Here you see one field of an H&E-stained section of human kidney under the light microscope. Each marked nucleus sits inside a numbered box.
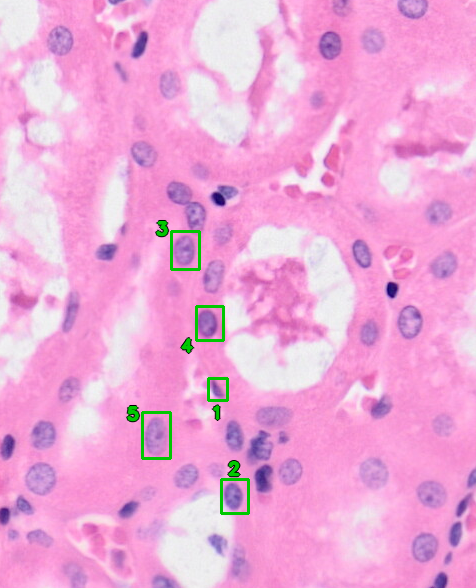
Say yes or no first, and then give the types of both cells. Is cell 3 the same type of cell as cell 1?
No, classify cell 3 as a proximal tubule cell and cell 1 as an endothelial cell.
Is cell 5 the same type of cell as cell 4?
Yes, cells 5 and 4 are both to be classed as proximal tubule cells.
